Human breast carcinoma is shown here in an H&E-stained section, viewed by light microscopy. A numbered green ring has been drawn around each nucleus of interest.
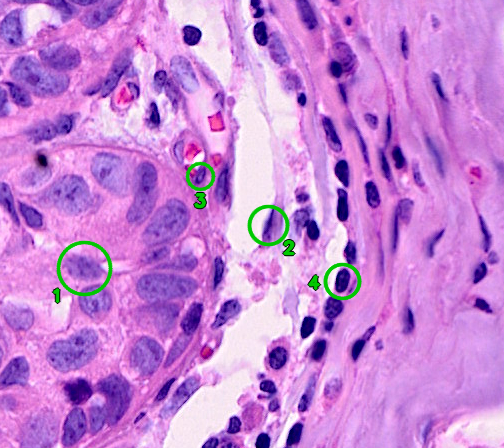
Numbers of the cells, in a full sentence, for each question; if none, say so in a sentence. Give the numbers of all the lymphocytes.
Only one marked cell, number 4, is a lymphocyte.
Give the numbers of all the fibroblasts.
The numbered cell that is a fibroblast is cell 2, and it is the only one.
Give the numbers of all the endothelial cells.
It is cell 3, and no other numbered cell, that is an endothelial cell.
